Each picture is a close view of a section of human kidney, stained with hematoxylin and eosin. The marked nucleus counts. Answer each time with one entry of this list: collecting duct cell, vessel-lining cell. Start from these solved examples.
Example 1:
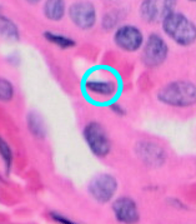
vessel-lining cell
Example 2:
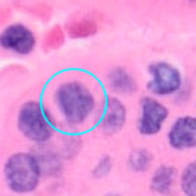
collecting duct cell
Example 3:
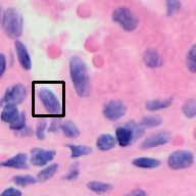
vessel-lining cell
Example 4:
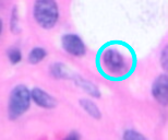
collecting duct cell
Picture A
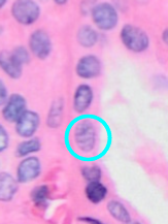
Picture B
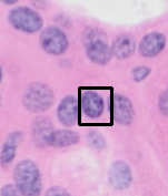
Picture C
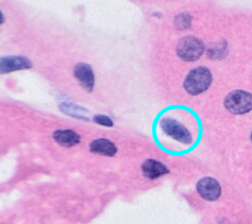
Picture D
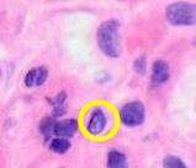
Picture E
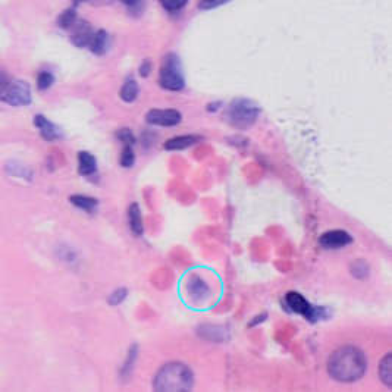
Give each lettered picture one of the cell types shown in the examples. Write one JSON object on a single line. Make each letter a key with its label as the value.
{"A": "collecting duct cell", "B": "collecting duct cell", "C": "vessel-lining cell", "D": "vessel-lining cell", "E": "vessel-lining cell"}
